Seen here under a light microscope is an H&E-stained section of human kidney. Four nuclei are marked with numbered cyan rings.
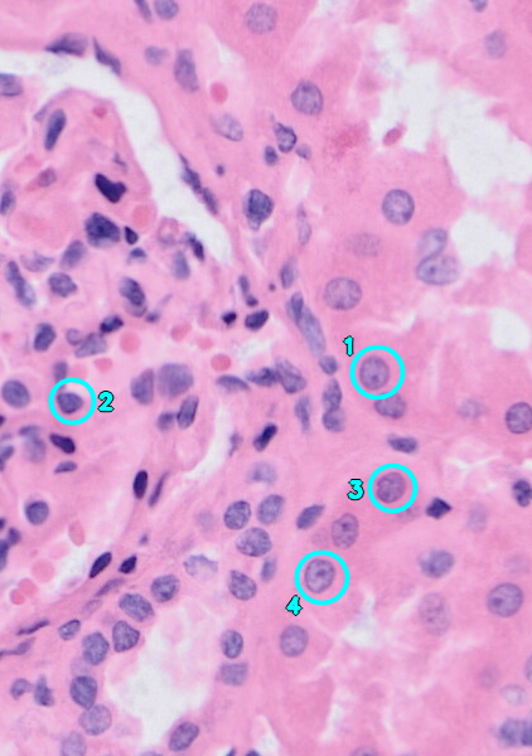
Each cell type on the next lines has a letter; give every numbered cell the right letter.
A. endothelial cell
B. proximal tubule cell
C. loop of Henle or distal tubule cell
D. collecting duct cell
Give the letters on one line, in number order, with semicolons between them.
B; A; B; B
